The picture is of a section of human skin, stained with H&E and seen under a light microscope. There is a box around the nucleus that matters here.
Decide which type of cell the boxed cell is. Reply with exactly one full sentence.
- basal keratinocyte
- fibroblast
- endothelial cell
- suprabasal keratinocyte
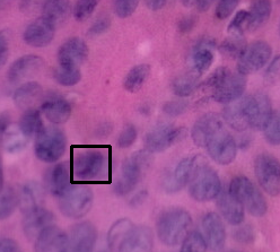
It is as a basal keratinocyte that the boxed cell is classified.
